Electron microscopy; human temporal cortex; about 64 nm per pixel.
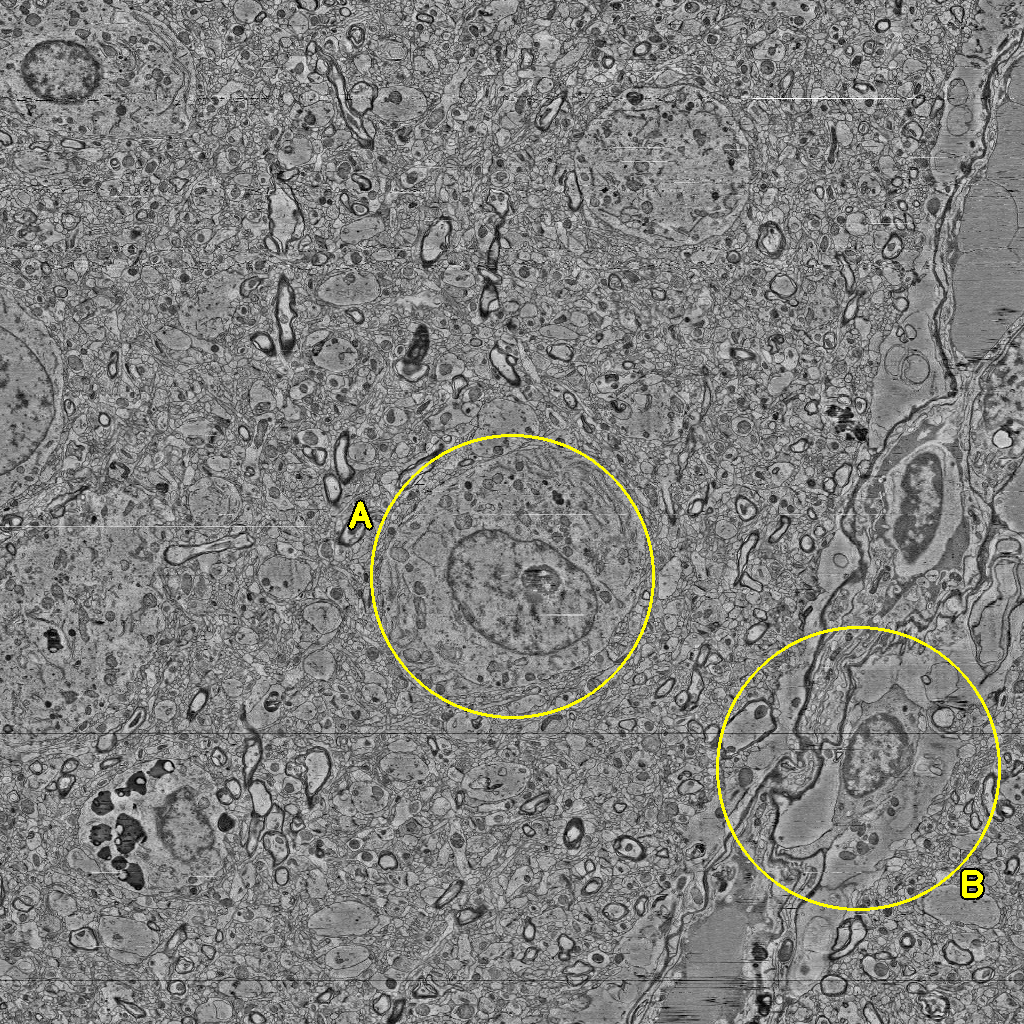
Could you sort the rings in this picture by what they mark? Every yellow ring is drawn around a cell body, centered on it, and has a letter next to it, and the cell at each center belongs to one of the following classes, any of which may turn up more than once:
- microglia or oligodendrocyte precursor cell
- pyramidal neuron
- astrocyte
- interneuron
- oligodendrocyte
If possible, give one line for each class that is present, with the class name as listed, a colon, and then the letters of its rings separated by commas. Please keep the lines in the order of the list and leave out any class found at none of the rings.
interneuron: A
oligodendrocyte: B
